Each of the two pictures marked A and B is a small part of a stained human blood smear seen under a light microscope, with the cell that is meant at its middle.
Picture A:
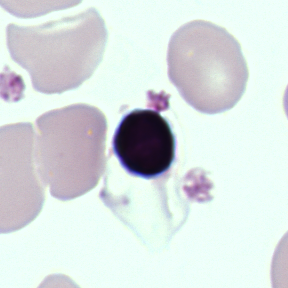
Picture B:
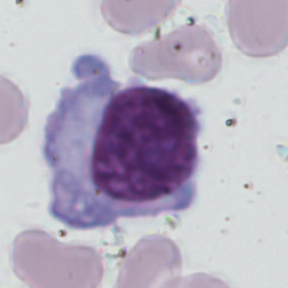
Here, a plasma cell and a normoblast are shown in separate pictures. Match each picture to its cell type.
A: normoblast
B: plasma cell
